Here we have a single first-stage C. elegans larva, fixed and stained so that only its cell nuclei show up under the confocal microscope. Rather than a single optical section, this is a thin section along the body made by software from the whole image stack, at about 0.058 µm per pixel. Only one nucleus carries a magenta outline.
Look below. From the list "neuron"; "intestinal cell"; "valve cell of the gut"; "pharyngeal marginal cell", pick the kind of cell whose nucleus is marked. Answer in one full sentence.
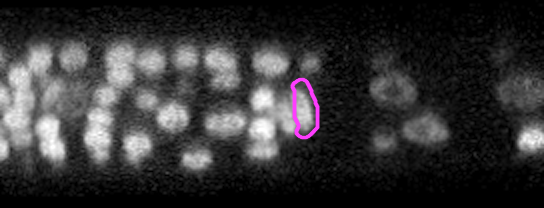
What is marked is the nucleus of a valve cell of the gut.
